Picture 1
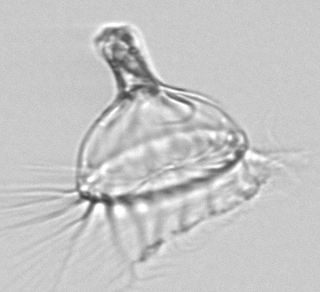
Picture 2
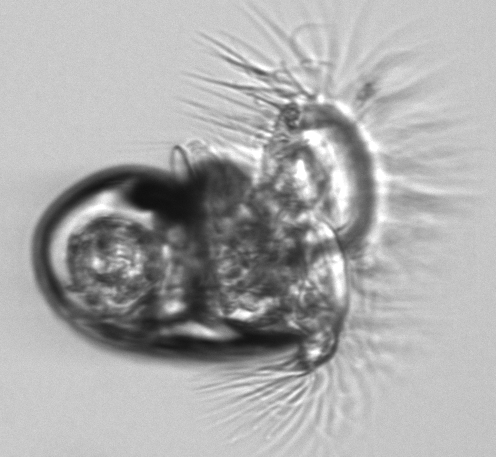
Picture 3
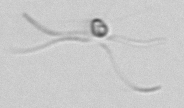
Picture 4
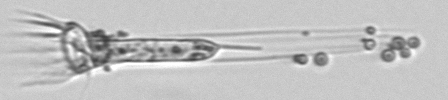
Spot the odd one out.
Picture 3 (Ophiaster among tintinnids).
